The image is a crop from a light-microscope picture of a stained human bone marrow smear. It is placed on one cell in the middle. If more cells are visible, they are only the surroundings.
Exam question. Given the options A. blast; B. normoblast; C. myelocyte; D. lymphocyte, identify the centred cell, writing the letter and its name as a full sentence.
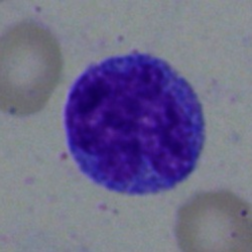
Option A is correct in naming the middle cell a blast.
